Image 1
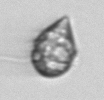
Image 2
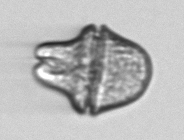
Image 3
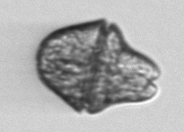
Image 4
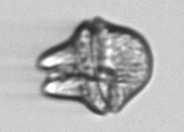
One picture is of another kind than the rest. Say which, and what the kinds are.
Picture 1 shows Scrippsiella; the rest show Akashiwo.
